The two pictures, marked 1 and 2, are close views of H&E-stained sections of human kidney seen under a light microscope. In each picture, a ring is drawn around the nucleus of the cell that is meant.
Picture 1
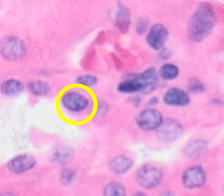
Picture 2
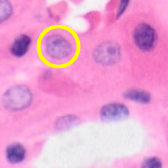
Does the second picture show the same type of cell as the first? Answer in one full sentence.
No, picture 1 shows a “loop of Henle or distal tubule cell” and picture 2 shows a proximal tubule cell.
